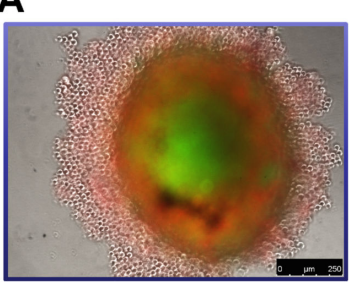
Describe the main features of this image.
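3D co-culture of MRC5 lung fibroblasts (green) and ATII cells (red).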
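A single large, roughly round multicellular spheroid fills the field, with a bright green core and a red-tinged outer shell. Around its edge, many small, rounded cells lie in a loose ring that fades out into the surrounding field. A darker, denser patch sits in the lower part of the aggregate.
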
